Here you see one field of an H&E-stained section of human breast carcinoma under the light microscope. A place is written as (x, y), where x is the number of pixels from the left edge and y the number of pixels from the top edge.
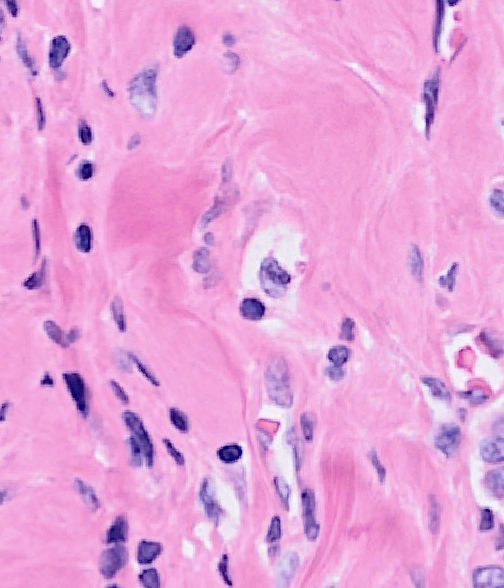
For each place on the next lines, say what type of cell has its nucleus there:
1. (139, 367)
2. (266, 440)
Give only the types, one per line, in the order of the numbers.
fibroblast
endothelial cell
